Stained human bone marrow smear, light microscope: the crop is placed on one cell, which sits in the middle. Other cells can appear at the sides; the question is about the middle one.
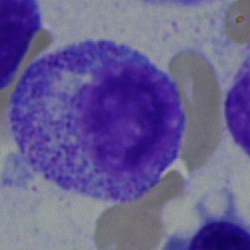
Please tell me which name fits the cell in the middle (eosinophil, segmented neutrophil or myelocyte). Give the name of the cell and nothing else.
myelocyte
